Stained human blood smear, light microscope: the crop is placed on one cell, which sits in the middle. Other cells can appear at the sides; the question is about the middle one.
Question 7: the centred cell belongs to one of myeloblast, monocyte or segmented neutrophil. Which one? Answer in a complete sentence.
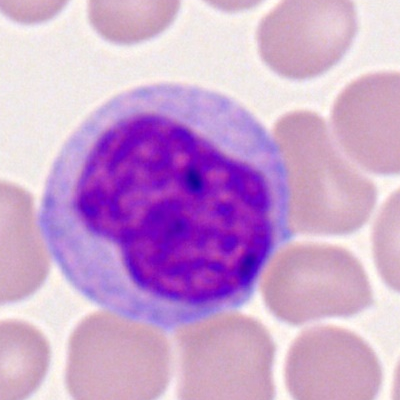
The central cell, amid any neighbouring cells, is a monocyte.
